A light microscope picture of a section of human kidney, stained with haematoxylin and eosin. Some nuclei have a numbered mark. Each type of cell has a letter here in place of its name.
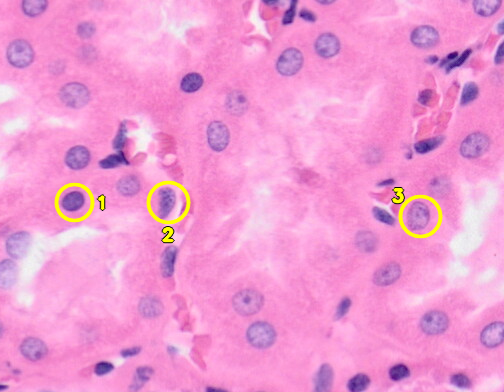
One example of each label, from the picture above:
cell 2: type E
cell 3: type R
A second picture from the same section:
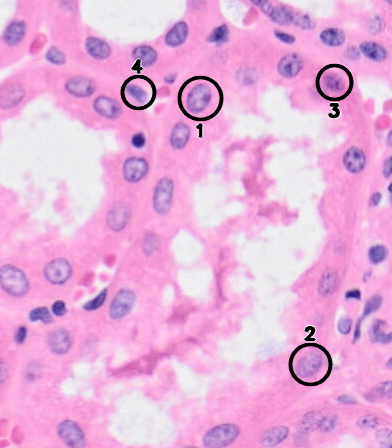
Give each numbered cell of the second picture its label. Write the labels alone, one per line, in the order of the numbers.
type R
type R
type R
type E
